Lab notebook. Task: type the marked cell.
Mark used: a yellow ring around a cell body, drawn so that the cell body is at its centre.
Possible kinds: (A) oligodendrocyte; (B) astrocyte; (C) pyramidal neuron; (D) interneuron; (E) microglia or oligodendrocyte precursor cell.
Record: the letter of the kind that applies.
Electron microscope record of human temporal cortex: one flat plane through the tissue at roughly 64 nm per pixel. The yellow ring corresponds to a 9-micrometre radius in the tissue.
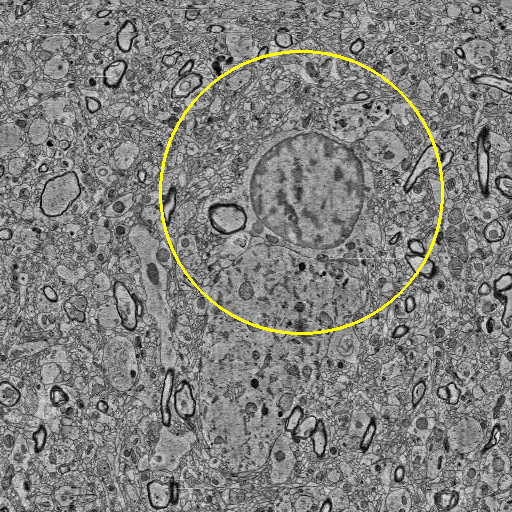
A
